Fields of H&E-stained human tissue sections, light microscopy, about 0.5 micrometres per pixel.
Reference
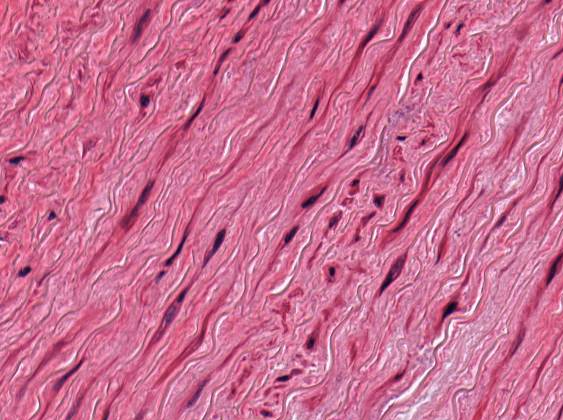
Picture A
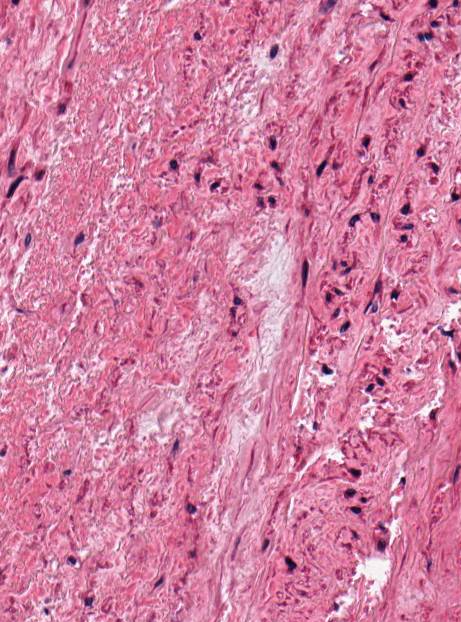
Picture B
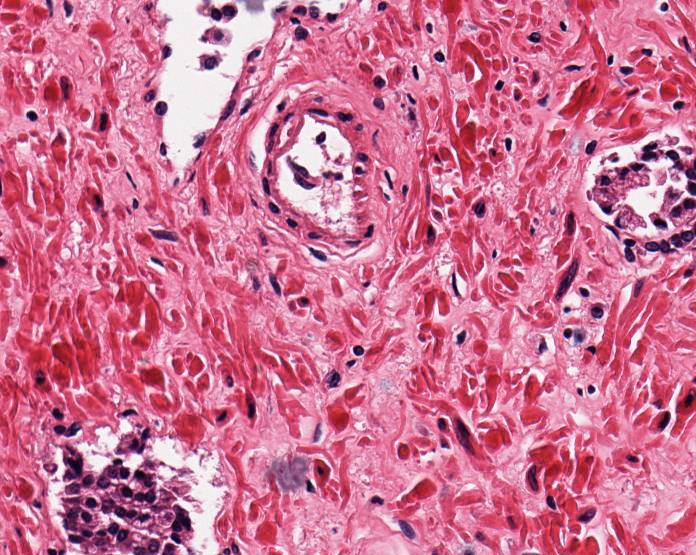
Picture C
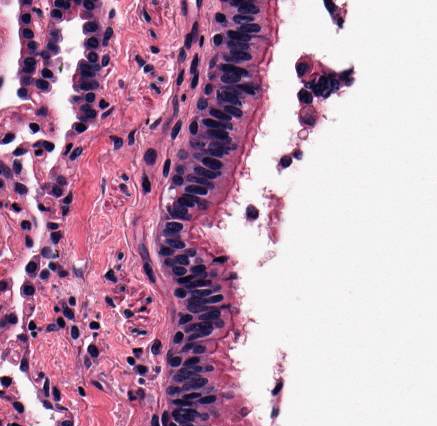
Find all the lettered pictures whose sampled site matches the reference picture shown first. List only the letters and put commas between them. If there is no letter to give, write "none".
A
